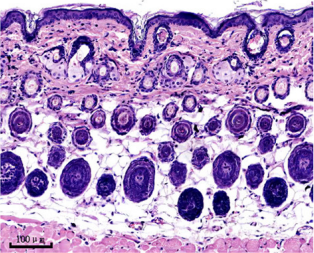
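This is a section of hairy skin stained pink and purple, with a thin epidermis of only a few purple cell layers at the top. Below it the dermis is made of pink fibrous connective tissue holding scattered nuclei and small hair follicles with pale sebaceous glands. Deeper lies a layer of clear, empty-looking fat cells in which large hair bulbs are cut across as dark purple rings. A band of pink muscle runs along the bottom edge.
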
